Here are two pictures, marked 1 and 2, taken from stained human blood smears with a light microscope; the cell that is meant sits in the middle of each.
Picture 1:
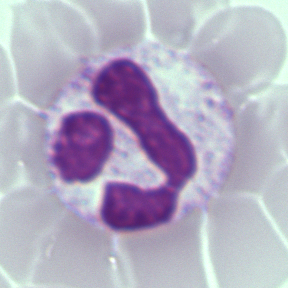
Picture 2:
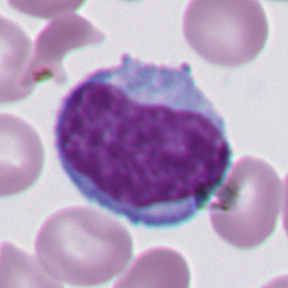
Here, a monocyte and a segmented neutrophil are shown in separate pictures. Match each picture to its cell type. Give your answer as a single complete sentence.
Picture 1 shows a segmented neutrophil and picture 2 shows a monocyte.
